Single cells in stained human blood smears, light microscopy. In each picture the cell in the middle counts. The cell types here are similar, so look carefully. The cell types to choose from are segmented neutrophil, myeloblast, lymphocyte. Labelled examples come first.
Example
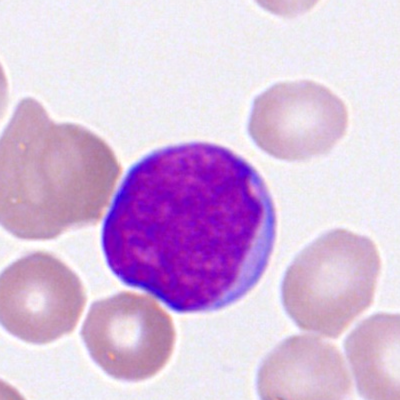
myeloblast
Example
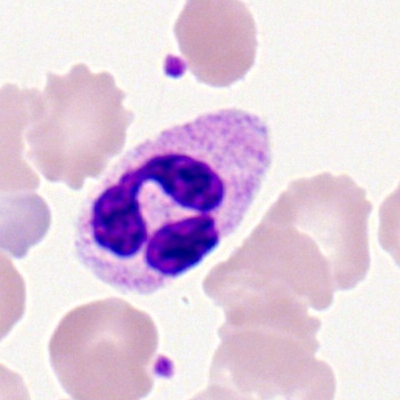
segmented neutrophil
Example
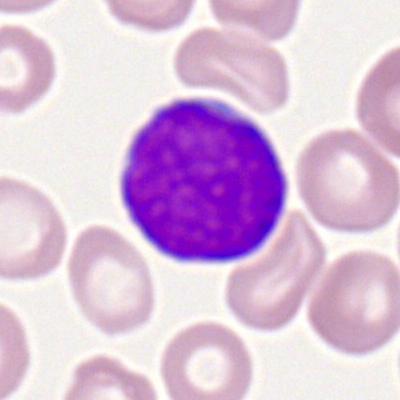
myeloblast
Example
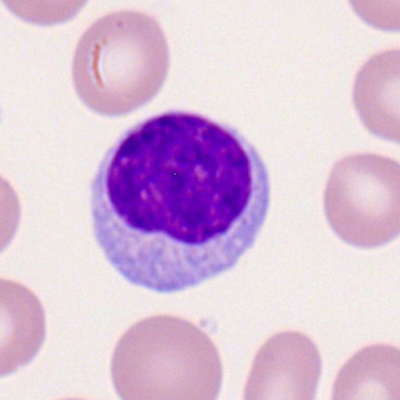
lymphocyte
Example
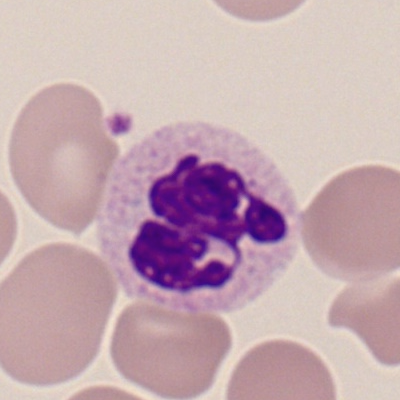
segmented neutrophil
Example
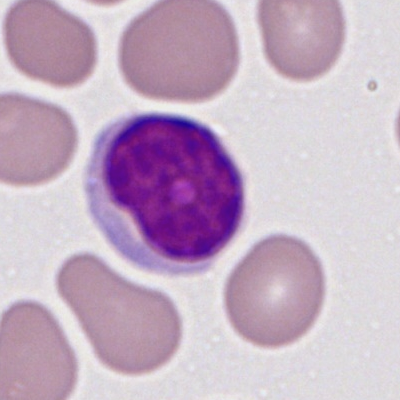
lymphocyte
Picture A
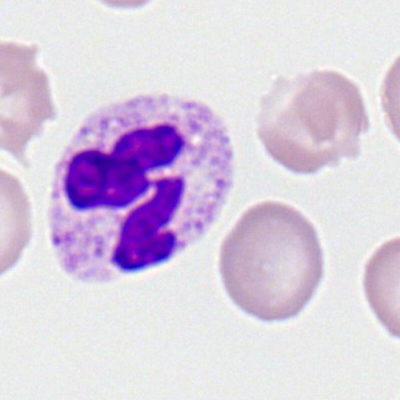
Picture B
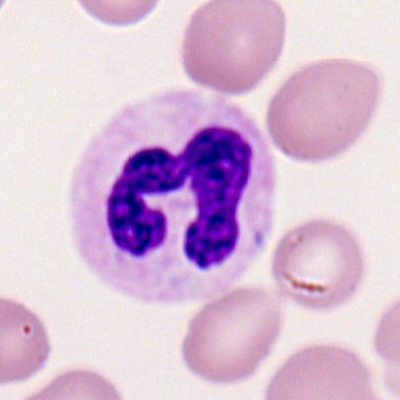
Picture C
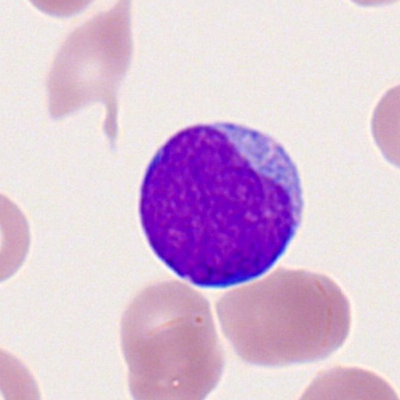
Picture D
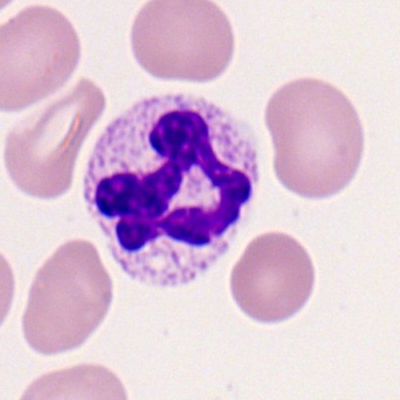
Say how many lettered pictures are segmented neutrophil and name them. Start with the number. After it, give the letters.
Count: 3 (A, B, D)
